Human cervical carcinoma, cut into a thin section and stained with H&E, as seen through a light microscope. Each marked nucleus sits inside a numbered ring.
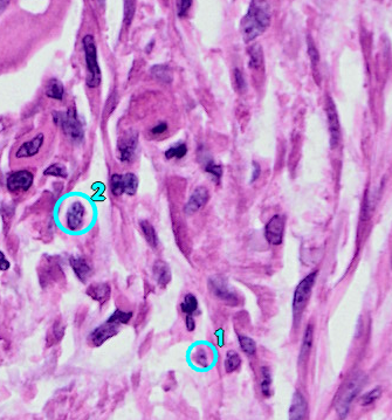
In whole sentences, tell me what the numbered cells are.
Cell 1 is a fibroblast. Cell 2 is a lymphocyte.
